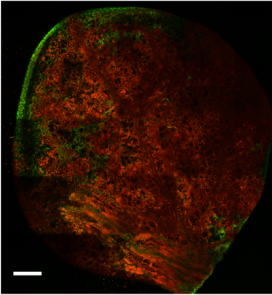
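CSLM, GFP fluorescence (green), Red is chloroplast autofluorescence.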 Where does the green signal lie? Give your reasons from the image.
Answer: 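Green fluorescence is concentrated along the outer rim of the leaf. The interior of the leaf is mostly red. On this evidence: leaf edge.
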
